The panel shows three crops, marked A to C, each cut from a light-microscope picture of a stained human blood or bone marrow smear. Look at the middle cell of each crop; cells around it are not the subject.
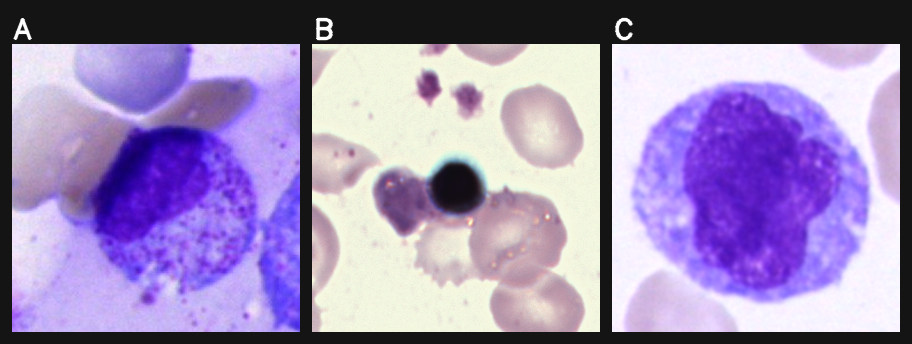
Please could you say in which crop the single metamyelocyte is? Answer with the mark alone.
A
